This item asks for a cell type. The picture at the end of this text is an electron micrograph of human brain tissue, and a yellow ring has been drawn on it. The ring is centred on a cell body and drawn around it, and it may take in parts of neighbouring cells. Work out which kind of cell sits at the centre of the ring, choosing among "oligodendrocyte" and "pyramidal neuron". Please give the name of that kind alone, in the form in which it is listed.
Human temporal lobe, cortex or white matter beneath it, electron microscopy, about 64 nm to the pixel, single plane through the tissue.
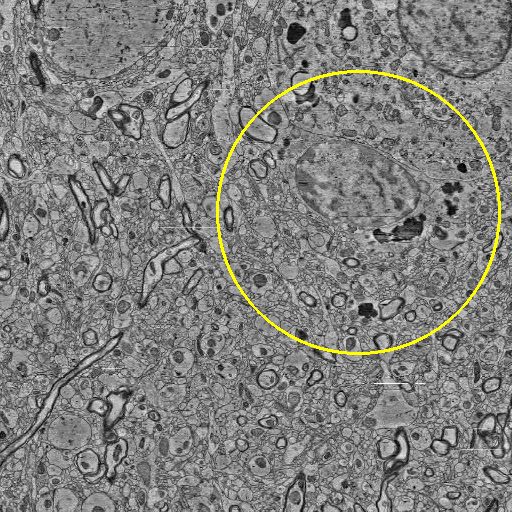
oligodendrocyte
